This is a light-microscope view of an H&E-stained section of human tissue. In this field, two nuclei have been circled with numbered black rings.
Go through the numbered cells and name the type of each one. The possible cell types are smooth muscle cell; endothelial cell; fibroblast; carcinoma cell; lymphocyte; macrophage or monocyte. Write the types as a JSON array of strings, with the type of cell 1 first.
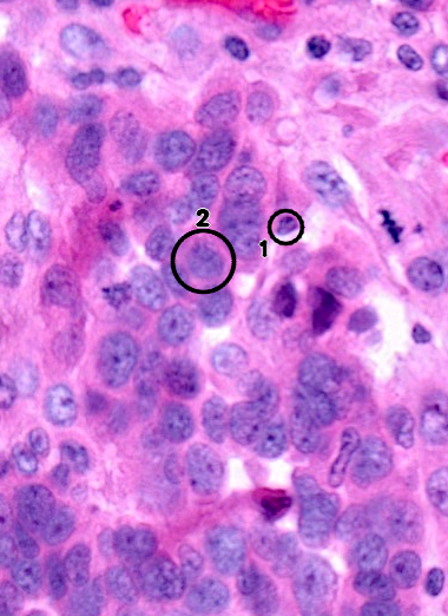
["lymphocyte", "carcinoma cell"]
